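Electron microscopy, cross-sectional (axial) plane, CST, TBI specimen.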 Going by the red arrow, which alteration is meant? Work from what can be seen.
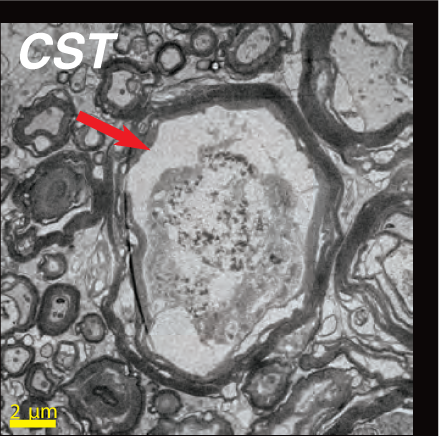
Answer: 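The arrow points to the edge of one very large rounded profile. The answer: Local swelling.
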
